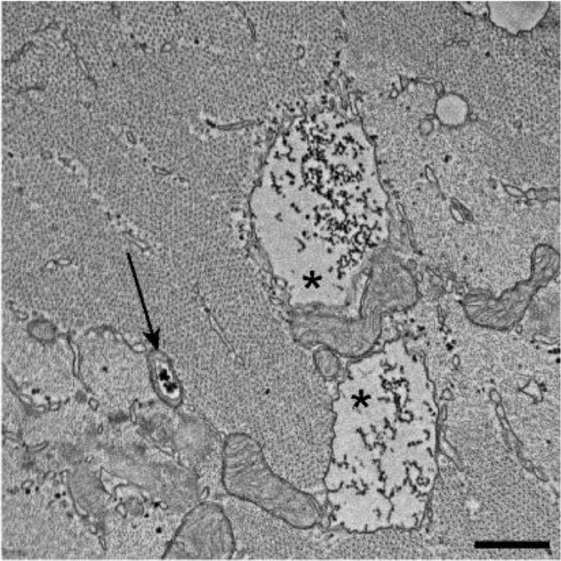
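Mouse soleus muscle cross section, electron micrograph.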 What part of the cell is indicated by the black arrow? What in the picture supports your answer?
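Small oval profile bounded by two membranes. Dark material enclosed inside it. Lies within the myofibrillar cytoplasm.
Answer: vacuoles with their cargo engulfed in a double-membrane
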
